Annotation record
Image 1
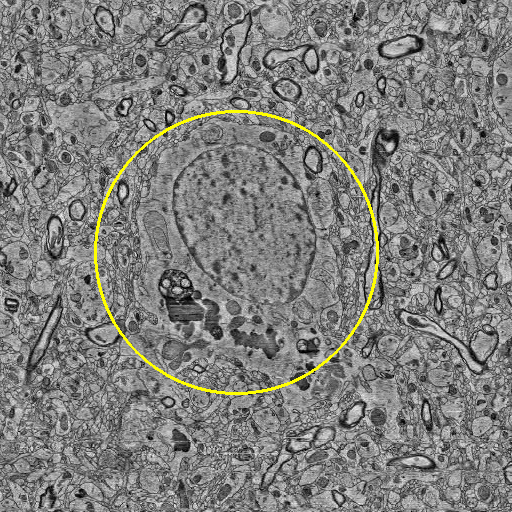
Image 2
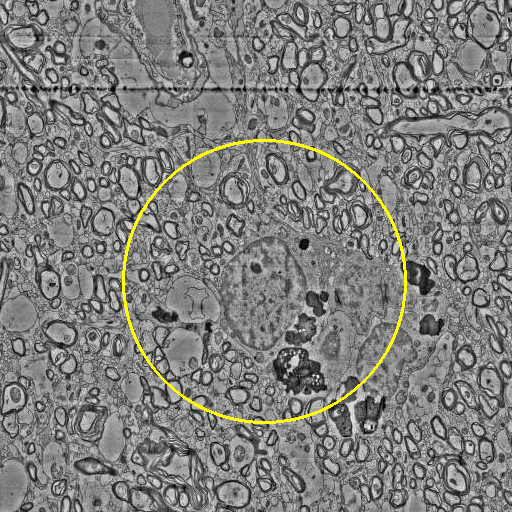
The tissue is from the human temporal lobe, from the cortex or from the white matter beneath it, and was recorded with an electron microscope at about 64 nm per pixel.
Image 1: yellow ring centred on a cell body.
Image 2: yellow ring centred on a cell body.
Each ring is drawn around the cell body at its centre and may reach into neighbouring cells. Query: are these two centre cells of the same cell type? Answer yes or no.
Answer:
no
